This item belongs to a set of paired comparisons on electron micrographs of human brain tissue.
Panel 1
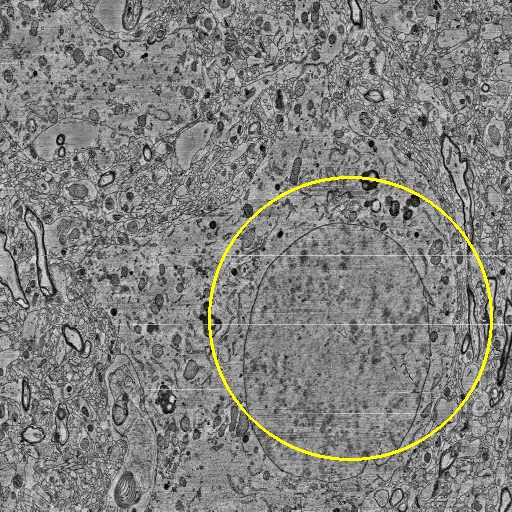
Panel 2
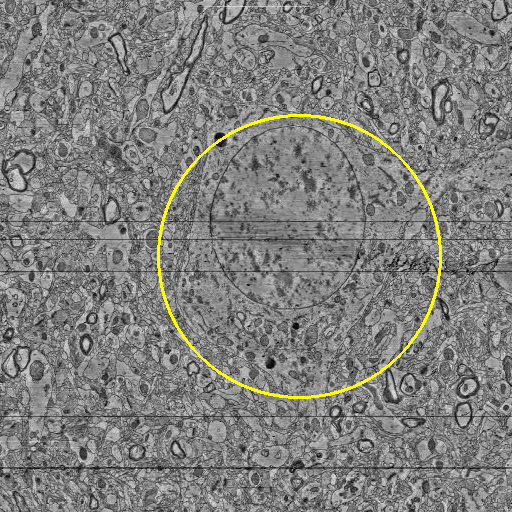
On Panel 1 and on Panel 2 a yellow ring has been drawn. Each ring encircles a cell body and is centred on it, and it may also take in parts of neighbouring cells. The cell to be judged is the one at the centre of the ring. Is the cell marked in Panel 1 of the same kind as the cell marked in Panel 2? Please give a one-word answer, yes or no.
yes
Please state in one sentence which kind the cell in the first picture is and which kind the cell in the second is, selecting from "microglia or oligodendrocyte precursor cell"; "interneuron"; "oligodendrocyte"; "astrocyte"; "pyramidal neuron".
Both cells are the same kind, each one being a pyramidal neuron.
